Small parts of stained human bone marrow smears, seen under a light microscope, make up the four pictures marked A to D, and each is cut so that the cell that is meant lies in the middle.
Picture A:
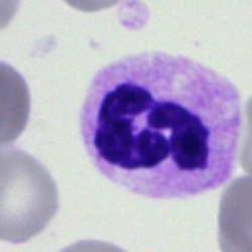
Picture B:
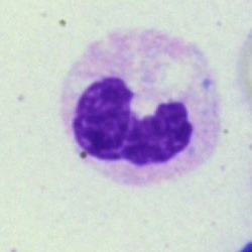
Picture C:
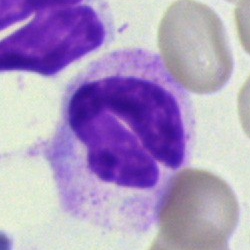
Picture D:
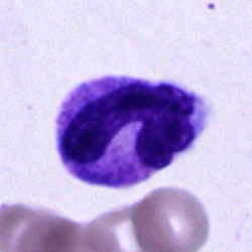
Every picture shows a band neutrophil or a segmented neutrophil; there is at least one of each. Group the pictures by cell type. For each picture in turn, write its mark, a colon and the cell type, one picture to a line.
A: segmented neutrophil
B: band neutrophil
C: segmented neutrophil
D: band neutrophil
